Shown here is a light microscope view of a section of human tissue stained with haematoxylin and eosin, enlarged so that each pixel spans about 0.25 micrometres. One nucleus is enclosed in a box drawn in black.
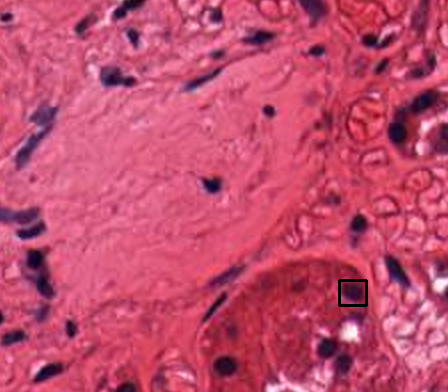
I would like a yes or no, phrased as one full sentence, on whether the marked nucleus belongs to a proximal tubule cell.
Yes, the marked nucleus is the nucleus of a proximal tubule cell in this section.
